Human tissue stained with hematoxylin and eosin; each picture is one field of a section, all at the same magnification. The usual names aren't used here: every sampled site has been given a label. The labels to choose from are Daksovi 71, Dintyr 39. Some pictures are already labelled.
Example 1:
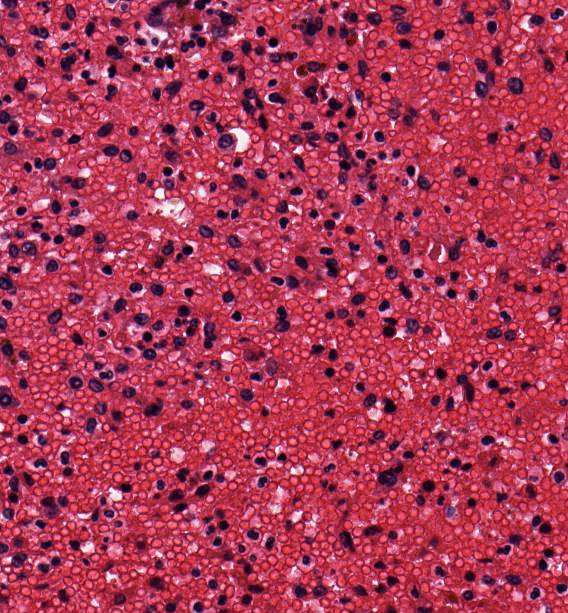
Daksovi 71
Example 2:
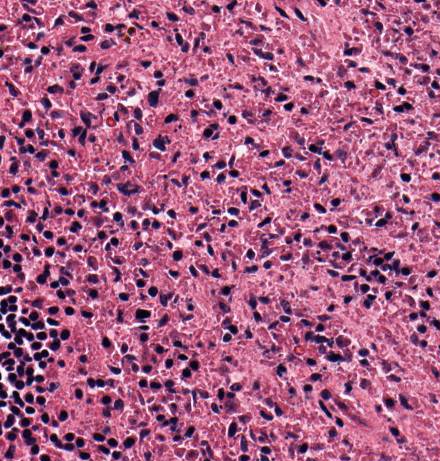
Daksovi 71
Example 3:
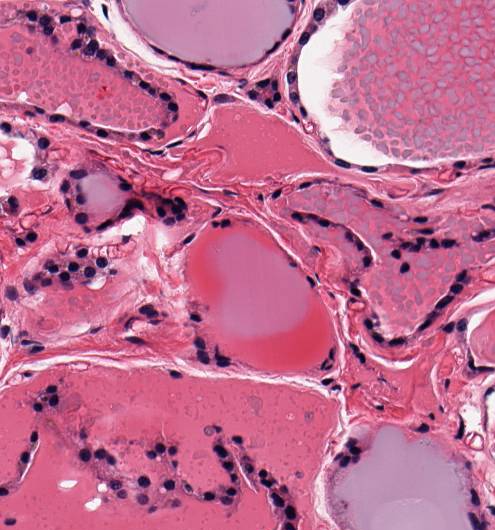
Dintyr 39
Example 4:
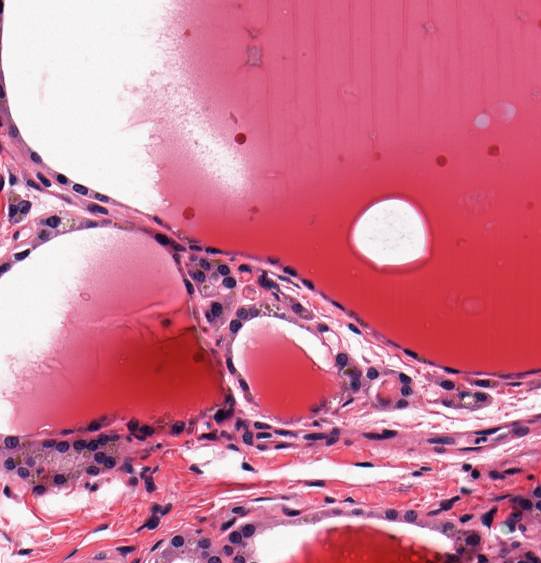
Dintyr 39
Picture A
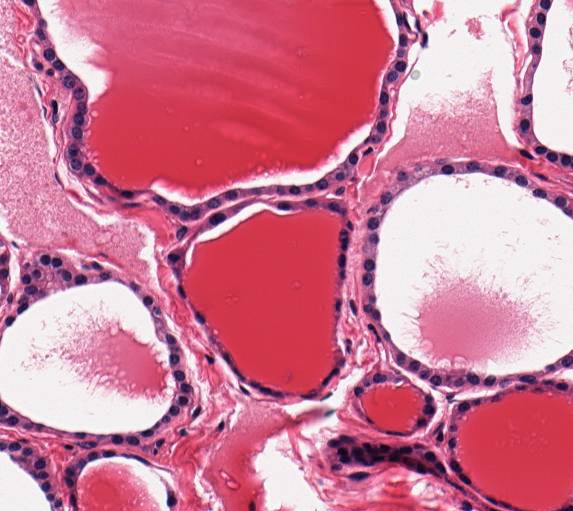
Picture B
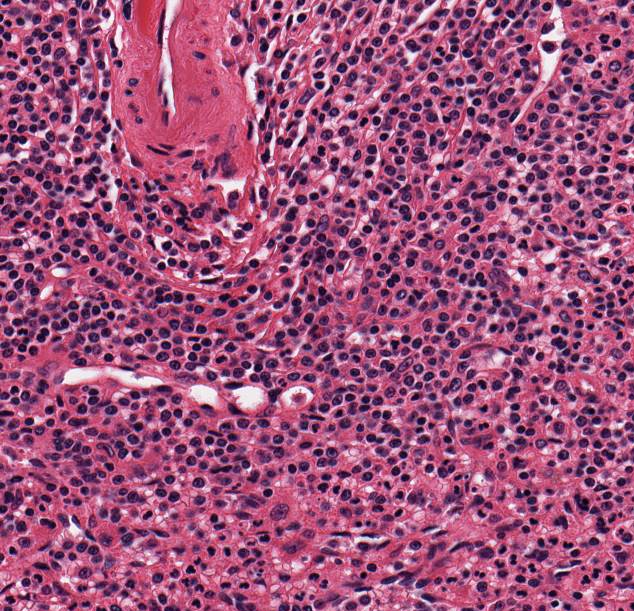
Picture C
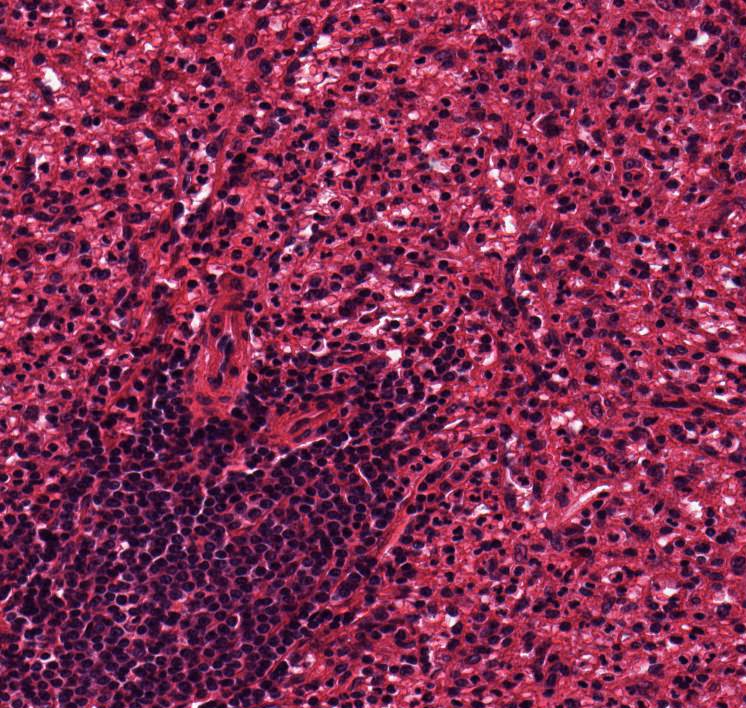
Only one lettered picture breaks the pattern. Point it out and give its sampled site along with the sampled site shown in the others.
A (Dintyr 39) is the exception; every other picture is Daksovi 71.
